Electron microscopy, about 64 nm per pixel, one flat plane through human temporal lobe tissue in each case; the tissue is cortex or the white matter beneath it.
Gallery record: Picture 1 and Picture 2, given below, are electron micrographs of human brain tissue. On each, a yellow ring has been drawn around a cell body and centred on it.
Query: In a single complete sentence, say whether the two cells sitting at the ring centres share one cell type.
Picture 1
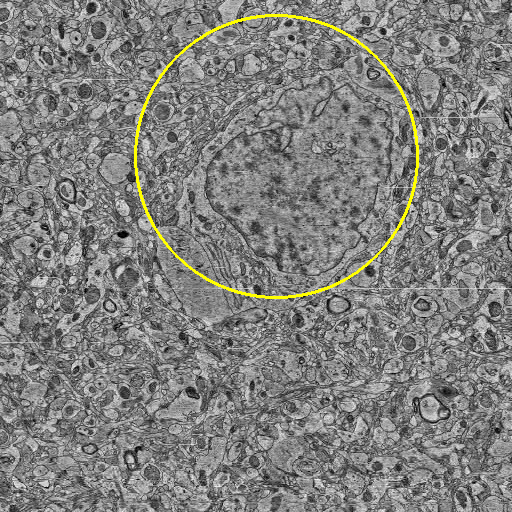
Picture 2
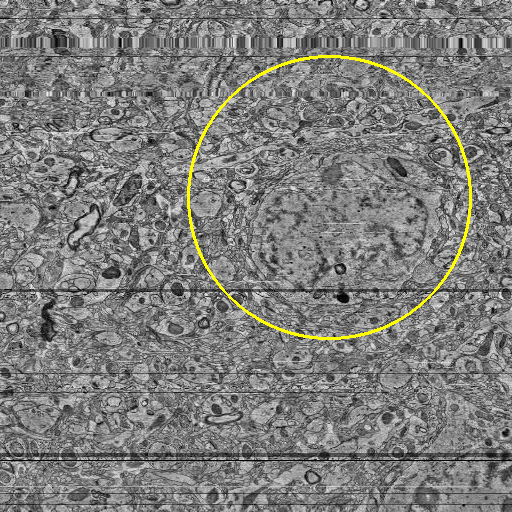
Yes, in both pictures the cell at the ring's centre is of one and the same type.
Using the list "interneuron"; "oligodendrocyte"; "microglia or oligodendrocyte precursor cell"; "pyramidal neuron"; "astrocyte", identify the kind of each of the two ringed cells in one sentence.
In each picture the ringed cell is an interneuron.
